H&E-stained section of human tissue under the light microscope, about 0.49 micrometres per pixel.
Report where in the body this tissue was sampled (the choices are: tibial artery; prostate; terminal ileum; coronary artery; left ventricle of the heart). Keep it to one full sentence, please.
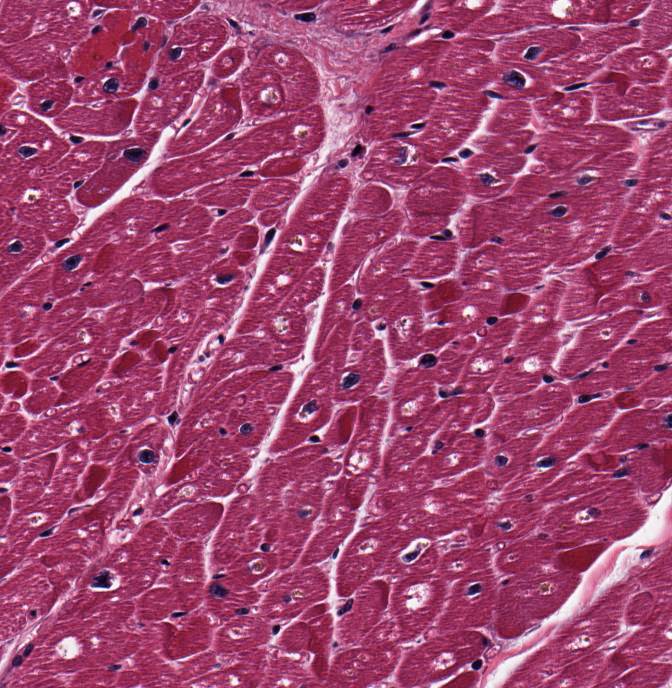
From the left ventricle of the heart this tissue was sampled.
